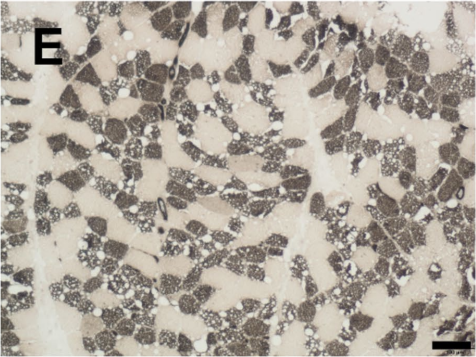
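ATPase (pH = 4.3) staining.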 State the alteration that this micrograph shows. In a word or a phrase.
lipid droplet aggregation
